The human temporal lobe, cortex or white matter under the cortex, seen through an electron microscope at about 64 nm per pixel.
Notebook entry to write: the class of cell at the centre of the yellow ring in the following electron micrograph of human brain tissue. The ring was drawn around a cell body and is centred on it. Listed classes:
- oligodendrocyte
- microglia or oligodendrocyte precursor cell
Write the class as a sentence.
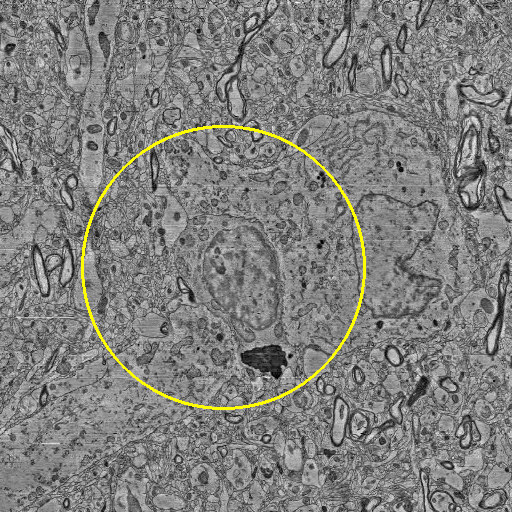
The yellow ring sits on an oligodendrocyte.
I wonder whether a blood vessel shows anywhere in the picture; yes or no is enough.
No, no blood vessel shows in the picture.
